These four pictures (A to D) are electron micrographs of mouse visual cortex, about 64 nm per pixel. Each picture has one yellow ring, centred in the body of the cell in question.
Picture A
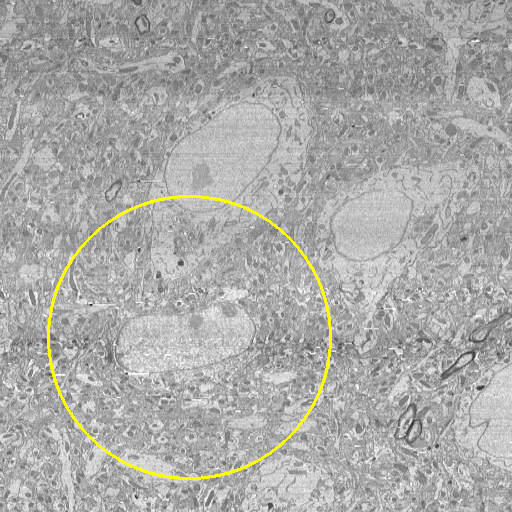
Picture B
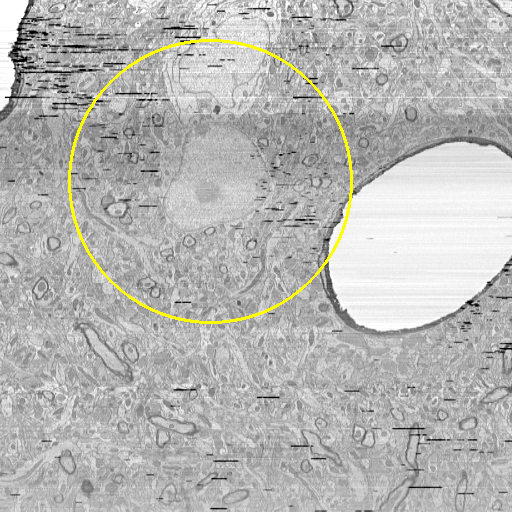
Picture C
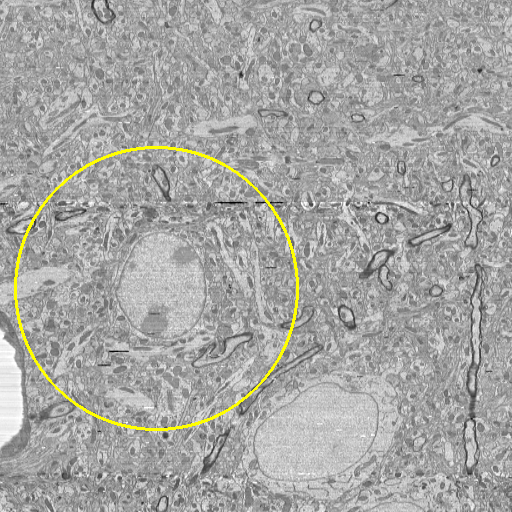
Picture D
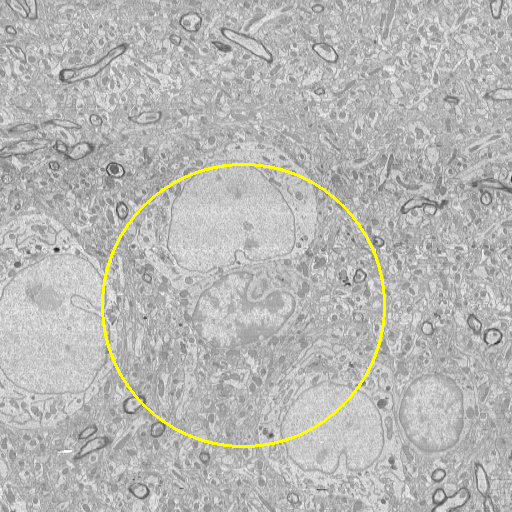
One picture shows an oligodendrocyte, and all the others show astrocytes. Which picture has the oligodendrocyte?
The picture with the oligodendrocyte is D.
